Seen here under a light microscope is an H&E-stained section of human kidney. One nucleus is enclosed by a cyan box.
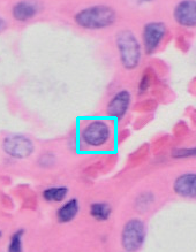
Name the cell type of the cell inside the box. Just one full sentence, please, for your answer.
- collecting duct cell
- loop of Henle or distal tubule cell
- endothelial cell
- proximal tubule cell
In this section, the cell inside the box is a collecting duct cell.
